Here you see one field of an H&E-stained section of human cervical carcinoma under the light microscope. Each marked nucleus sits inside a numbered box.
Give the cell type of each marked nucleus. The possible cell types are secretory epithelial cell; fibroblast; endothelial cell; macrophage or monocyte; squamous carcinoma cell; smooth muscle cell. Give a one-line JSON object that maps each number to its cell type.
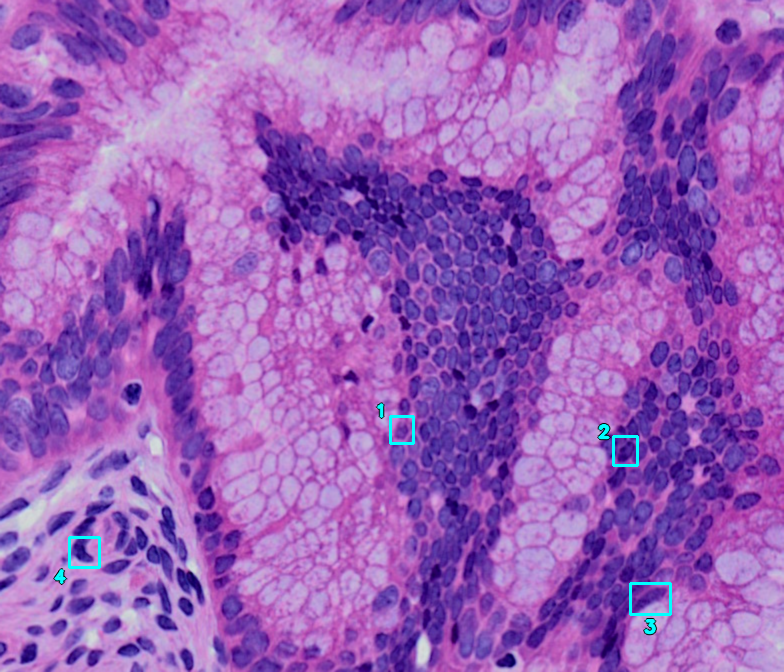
{"1": "secretory epithelial cell", "2": "secretory epithelial cell", "3": "secretory epithelial cell", "4": "fibroblast"}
